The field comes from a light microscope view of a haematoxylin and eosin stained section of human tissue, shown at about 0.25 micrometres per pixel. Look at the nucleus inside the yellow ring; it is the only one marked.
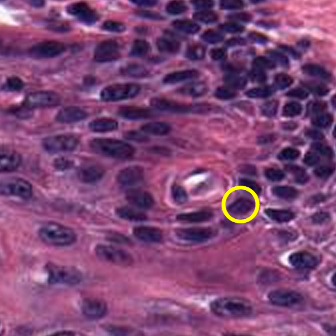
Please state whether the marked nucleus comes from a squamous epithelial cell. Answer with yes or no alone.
yes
